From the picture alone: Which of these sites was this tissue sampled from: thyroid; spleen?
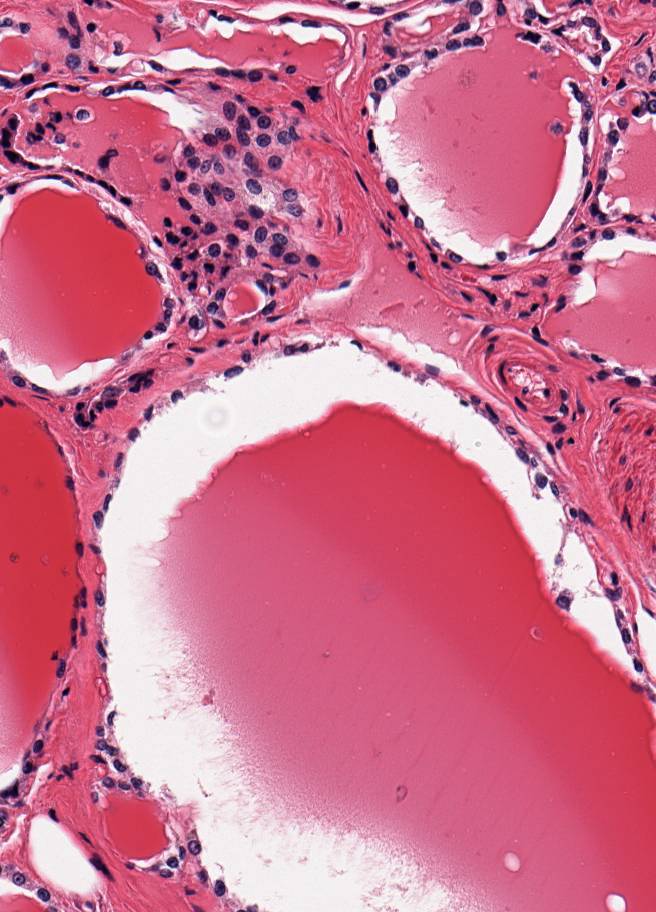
thyroid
